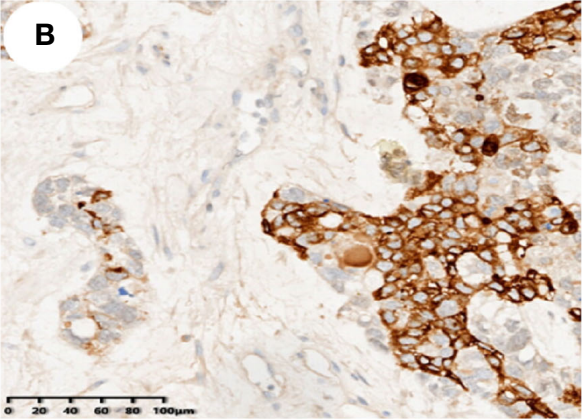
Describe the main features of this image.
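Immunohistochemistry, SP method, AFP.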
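Yolk sac tumor cells form nests and anastomosing cords set in a loose, pale, myxoid stroma with sparse spindle cells. The tumor cells are polygonal with round, pale-blue nuclei and carry brown staining of cytoplasm and cell borders, stronger in the right-hand cluster than in the small nest on the left. Several round, homogeneous globules, dense brown or paler tan, lie among the tumor cells. Stromal cells remain unstained with blue nuclei.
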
